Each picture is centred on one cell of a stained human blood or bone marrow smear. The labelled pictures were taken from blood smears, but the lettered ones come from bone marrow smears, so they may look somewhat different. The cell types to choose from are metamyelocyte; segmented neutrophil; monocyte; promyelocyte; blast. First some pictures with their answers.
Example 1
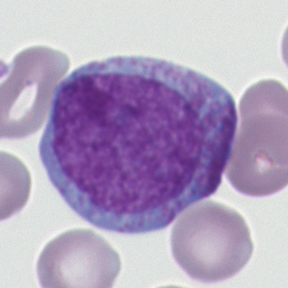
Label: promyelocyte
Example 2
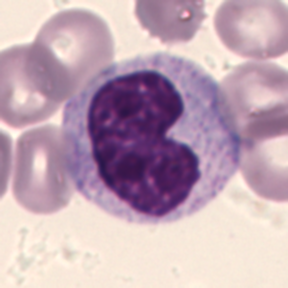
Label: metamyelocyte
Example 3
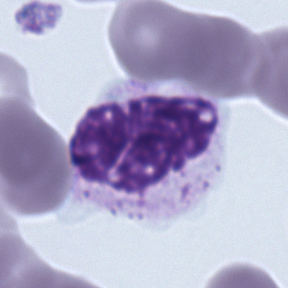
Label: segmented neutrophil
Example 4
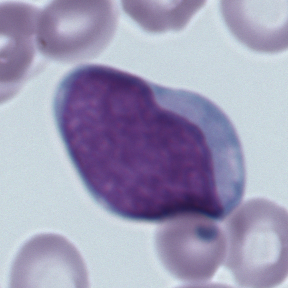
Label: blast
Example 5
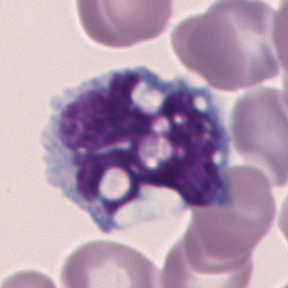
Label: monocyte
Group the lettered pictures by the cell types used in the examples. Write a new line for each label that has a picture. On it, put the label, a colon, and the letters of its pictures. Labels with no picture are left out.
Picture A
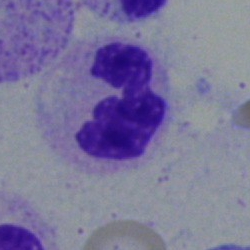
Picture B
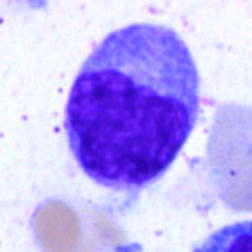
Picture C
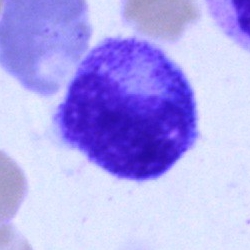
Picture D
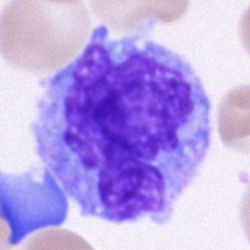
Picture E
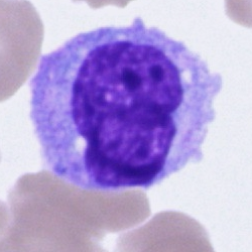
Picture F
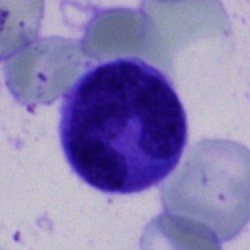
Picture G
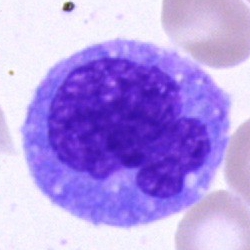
metamyelocyte: C
segmented neutrophil: A
monocyte: B, D, E, F, G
